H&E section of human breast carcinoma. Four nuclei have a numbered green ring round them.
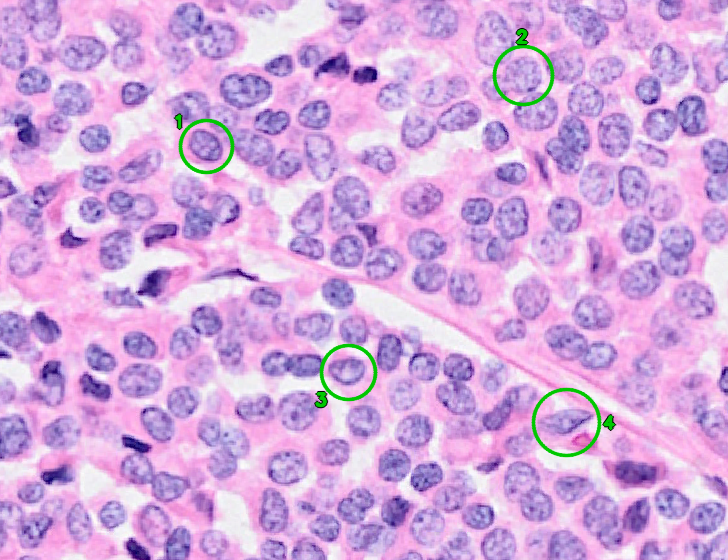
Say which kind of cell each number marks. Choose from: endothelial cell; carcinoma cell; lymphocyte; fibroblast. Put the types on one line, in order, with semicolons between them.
carcinoma cell; carcinoma cell; carcinoma cell; endothelial cell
